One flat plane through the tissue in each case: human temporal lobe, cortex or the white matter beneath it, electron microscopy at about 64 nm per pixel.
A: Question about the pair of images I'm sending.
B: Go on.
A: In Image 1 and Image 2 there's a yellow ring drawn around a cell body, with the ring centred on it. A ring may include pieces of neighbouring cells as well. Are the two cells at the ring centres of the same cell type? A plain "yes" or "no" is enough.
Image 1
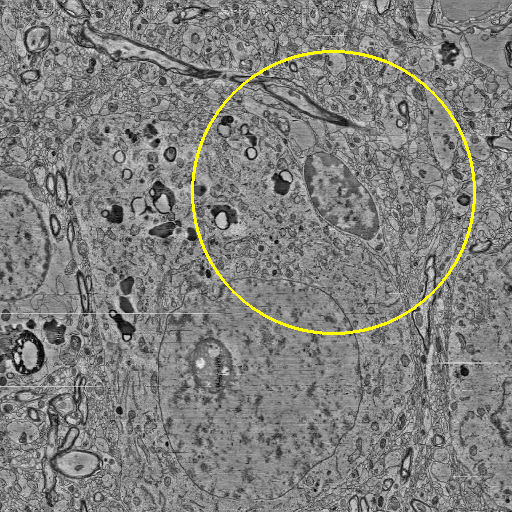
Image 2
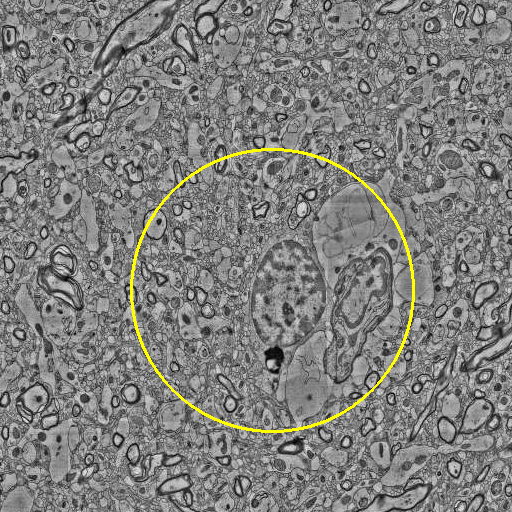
no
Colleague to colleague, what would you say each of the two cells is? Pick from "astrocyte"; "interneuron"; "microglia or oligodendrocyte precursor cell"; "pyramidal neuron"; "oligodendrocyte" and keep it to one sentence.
The cell in the first picture is a microglial cell or oligodendrocyte precursor cell; the second picture's cell is an oligodendrocyte.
